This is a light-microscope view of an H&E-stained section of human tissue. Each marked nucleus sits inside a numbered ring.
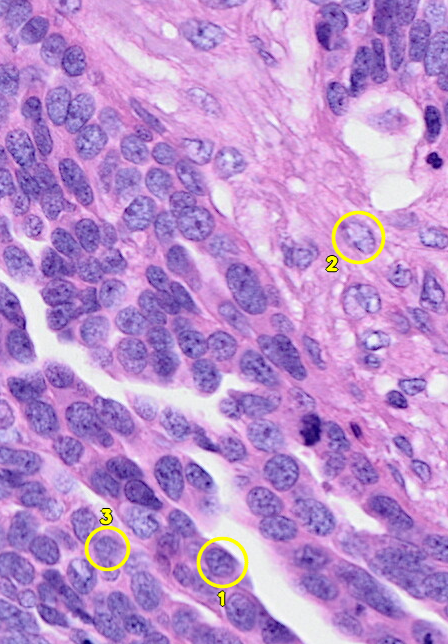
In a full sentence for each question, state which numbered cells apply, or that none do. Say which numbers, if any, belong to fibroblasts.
Among the numbered cells, a fibroblast occurs only once, as cell 2.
